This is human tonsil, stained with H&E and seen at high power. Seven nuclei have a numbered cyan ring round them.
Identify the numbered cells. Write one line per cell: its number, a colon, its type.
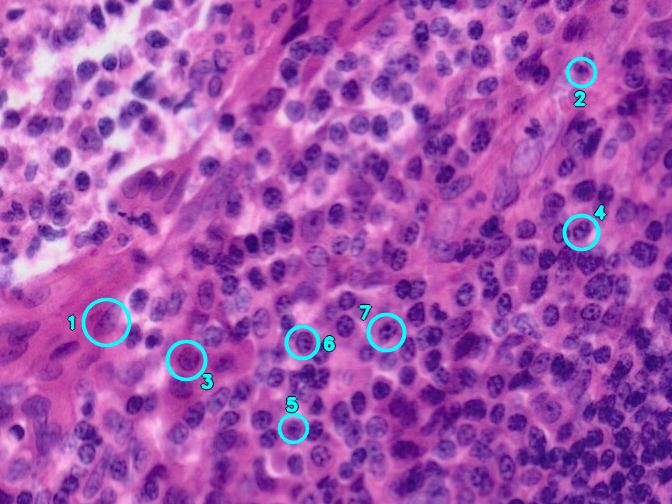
1: squamous epithelial cell
2: endothelial cell
3: squamous epithelial cell
4: plasma cell
5: plasma cell
6: plasma cell
7: plasma cell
